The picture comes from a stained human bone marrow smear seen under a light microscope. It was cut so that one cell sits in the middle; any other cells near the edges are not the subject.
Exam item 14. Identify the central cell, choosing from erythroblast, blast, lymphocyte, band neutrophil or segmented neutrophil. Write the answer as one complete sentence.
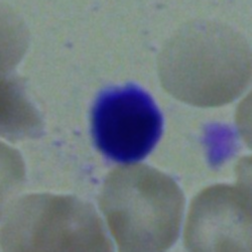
Seen at the centre of the crop is a lymphocyte.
